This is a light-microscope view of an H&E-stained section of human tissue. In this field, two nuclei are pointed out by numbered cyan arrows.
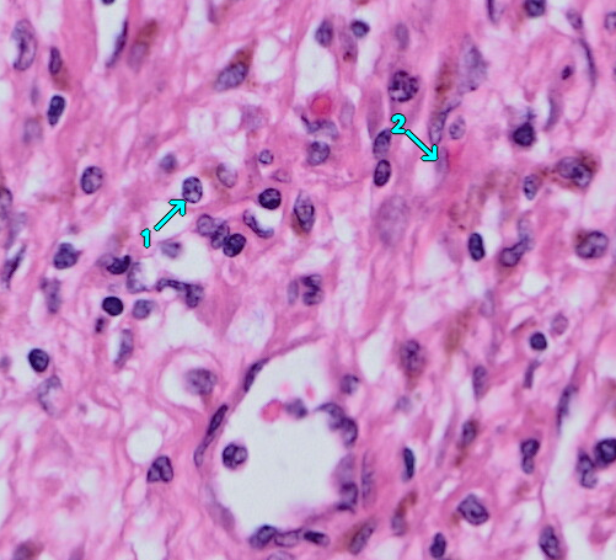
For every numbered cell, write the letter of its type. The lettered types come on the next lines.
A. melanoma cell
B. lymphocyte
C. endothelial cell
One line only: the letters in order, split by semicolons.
B; C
